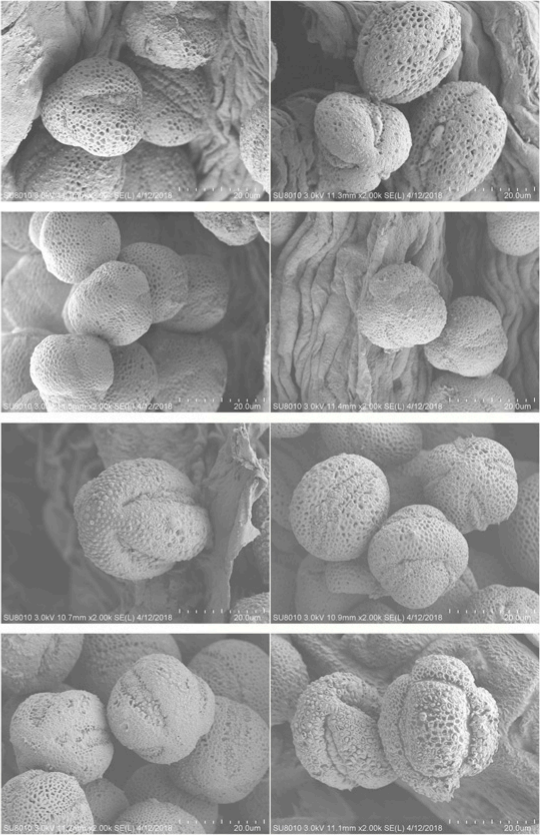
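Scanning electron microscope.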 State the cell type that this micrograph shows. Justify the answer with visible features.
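Rounded grains with a net-like sculptured outer wall. Grains show long furrows across their surface. Grains sit on a wrinkled background tissue.
Answer: pollen grains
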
